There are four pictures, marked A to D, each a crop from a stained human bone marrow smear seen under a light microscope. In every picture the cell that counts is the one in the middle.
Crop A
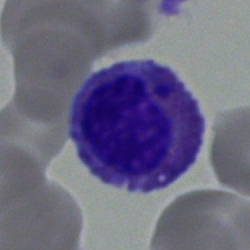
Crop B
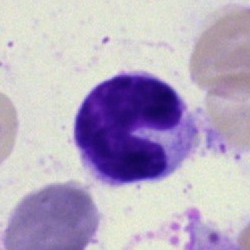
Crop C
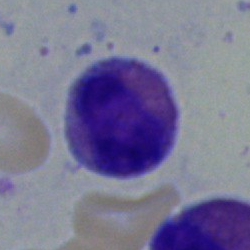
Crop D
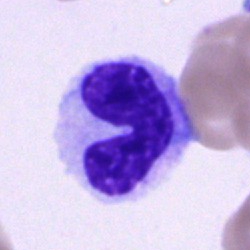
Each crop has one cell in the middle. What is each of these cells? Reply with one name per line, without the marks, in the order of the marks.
eosinophil
band neutrophil
eosinophil
band neutrophil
